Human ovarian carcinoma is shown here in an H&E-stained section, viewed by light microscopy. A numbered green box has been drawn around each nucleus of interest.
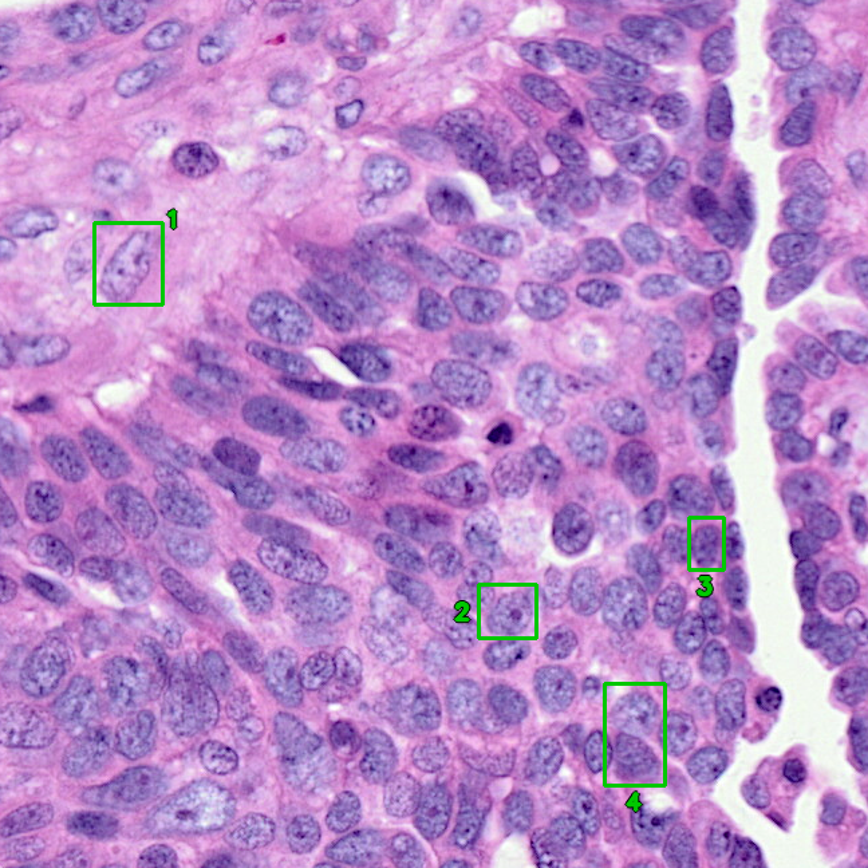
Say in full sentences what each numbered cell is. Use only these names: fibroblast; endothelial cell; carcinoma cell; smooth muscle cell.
Cell 1 is a fibroblast. Cells 2, 3 and 4 are carcinoma cells.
